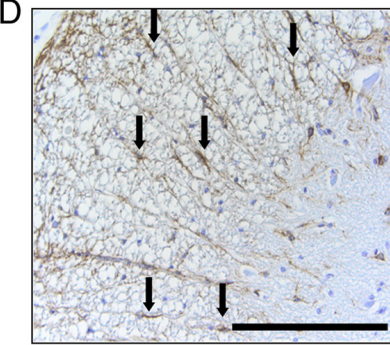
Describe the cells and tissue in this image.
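This is spinal cord white matter with brown-stained astrocytes scattered among the pale, honeycomb-like cross-sectioned fibres. The astrocytes have small bodies and several thin, dark brown processes that branch and run radially through the tissue, while blue nuclei of other cells lie in between.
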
